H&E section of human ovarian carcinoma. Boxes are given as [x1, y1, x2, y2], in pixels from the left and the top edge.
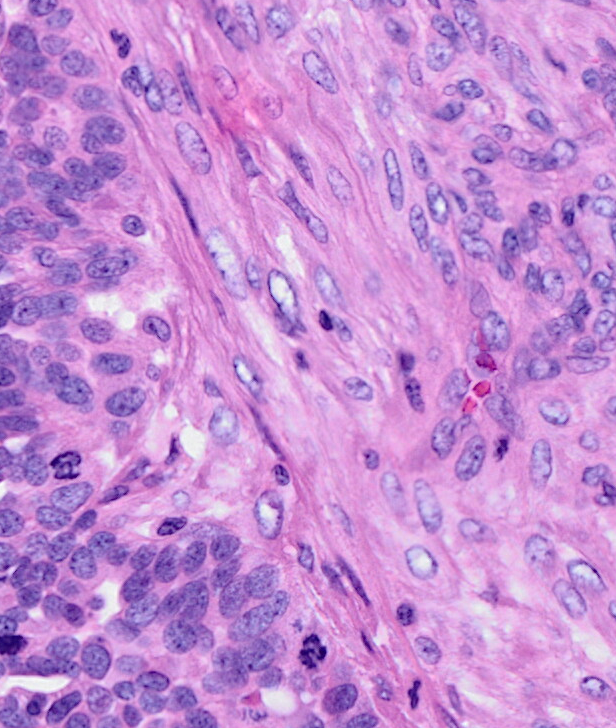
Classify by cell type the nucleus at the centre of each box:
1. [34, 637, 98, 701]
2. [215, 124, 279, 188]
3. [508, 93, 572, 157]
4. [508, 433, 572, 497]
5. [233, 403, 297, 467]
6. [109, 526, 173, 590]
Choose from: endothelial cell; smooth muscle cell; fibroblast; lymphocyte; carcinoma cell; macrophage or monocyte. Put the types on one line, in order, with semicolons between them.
carcinoma cell; fibroblast; fibroblast; fibroblast; fibroblast; carcinoma cell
